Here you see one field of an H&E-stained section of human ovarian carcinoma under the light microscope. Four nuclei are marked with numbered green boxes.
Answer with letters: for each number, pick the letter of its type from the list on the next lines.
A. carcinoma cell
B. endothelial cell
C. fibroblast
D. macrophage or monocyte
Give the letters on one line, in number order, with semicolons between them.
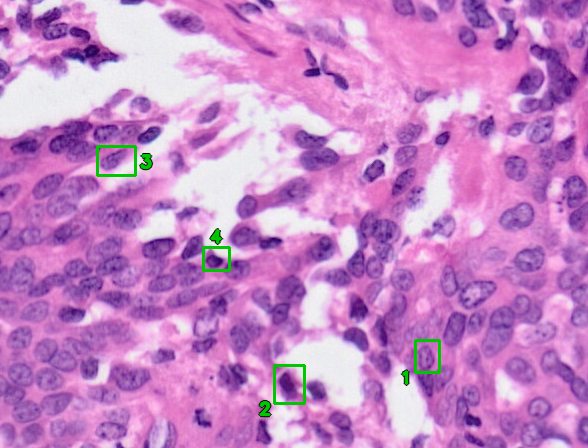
A; A; D; A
